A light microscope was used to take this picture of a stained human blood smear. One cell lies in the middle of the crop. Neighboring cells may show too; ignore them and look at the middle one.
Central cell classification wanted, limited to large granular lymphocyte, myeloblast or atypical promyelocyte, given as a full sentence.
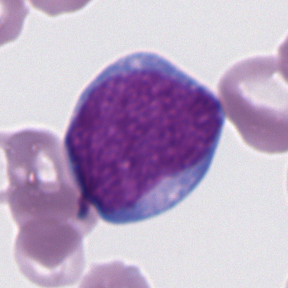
Classification of the middle cell gives a myeloblast.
